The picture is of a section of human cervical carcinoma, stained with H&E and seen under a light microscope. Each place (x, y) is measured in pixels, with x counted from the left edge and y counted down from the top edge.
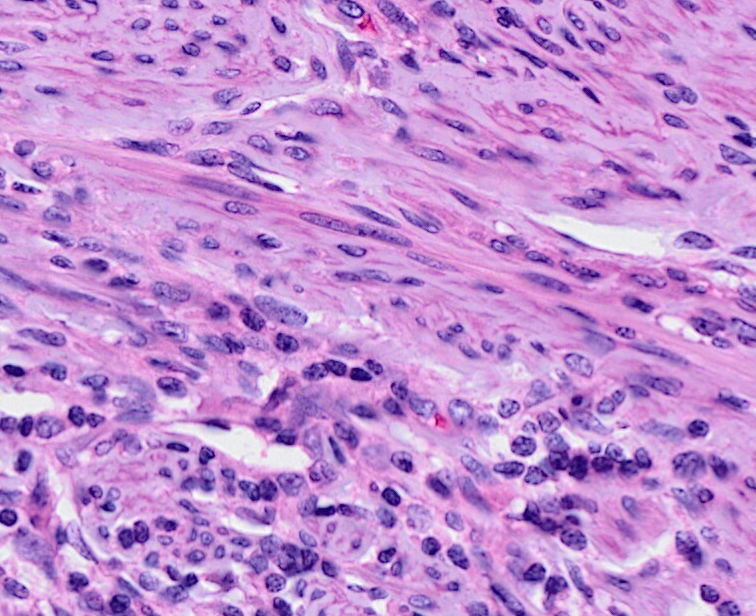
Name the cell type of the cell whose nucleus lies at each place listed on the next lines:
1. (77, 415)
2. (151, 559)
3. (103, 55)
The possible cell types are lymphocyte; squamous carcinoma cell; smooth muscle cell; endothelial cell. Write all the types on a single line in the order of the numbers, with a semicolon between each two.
lymphocyte; lymphocyte; smooth muscle cell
